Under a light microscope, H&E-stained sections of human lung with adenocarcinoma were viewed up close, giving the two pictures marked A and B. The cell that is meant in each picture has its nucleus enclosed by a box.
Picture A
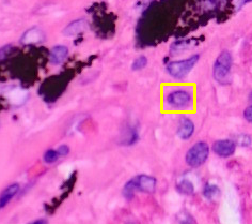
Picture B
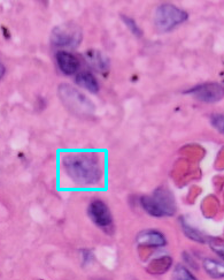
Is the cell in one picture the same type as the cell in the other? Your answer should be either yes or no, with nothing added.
no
